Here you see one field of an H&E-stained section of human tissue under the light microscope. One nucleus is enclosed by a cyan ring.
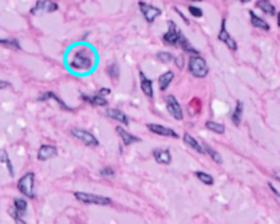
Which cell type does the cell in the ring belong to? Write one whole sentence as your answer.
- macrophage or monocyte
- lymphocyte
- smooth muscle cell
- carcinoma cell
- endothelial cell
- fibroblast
Speaking plainly, the cell in the ring is nothing other than a fibroblast.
